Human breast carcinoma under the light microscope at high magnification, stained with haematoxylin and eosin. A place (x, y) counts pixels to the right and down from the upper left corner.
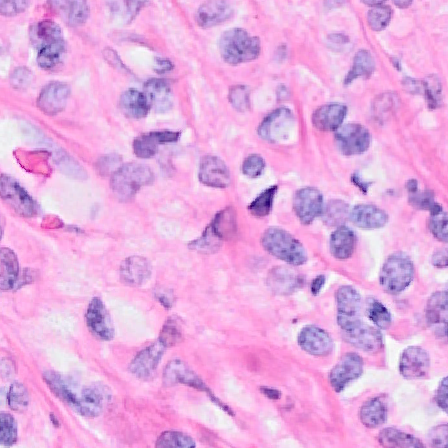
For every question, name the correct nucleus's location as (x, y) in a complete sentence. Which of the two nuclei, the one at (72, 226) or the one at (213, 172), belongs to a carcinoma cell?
Rather than the other nucleus, the one at (213, 172) belongs to a carcinoma cell.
